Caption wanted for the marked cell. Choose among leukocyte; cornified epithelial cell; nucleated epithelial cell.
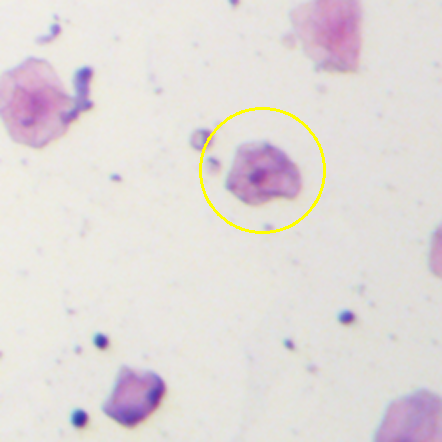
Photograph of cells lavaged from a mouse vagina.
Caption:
Ringed in yellow is a nucleated epithelial cell.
